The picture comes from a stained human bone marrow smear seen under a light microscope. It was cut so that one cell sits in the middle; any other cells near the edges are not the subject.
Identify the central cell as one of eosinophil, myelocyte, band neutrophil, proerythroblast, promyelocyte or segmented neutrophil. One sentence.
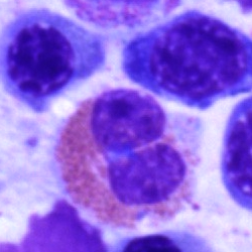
This crop's central cell is an eosinophil.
